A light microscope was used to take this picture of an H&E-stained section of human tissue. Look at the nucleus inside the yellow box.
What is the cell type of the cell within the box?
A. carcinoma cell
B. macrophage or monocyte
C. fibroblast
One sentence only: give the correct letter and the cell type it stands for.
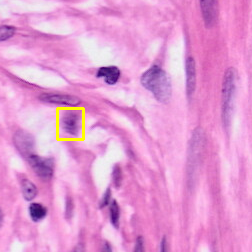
In this section the cell within the box is a fibroblast; option C is therefore correct.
